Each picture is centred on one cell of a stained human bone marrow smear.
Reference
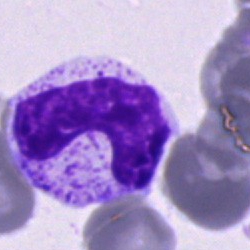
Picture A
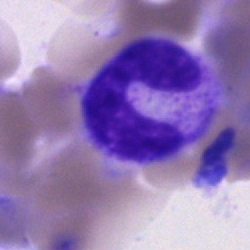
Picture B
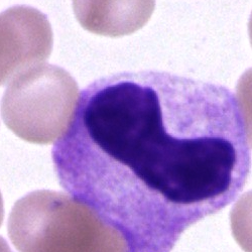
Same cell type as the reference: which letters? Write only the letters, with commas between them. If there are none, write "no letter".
A, B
